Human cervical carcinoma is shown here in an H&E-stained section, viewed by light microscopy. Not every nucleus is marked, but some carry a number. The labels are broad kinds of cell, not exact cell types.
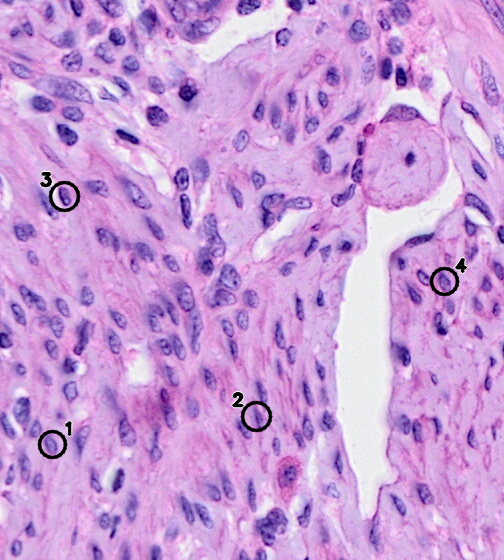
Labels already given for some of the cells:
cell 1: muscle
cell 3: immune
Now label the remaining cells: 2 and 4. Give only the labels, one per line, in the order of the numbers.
muscle
muscle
